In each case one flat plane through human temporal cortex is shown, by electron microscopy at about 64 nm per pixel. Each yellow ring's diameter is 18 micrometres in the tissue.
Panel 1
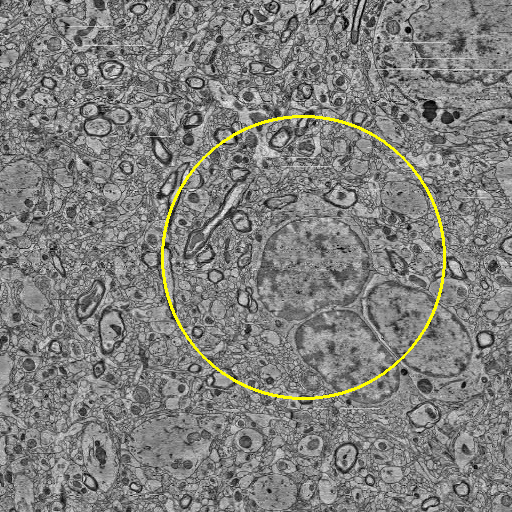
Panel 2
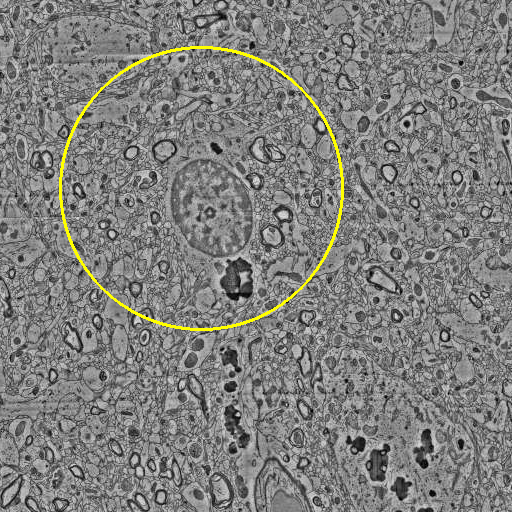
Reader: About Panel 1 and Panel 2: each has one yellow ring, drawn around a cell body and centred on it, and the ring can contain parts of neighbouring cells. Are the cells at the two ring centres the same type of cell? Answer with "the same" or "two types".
the same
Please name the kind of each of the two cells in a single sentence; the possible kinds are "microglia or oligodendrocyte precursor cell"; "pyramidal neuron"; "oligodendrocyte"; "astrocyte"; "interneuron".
In each of the two pictures, the ringed cell is an oligodendrocyte.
